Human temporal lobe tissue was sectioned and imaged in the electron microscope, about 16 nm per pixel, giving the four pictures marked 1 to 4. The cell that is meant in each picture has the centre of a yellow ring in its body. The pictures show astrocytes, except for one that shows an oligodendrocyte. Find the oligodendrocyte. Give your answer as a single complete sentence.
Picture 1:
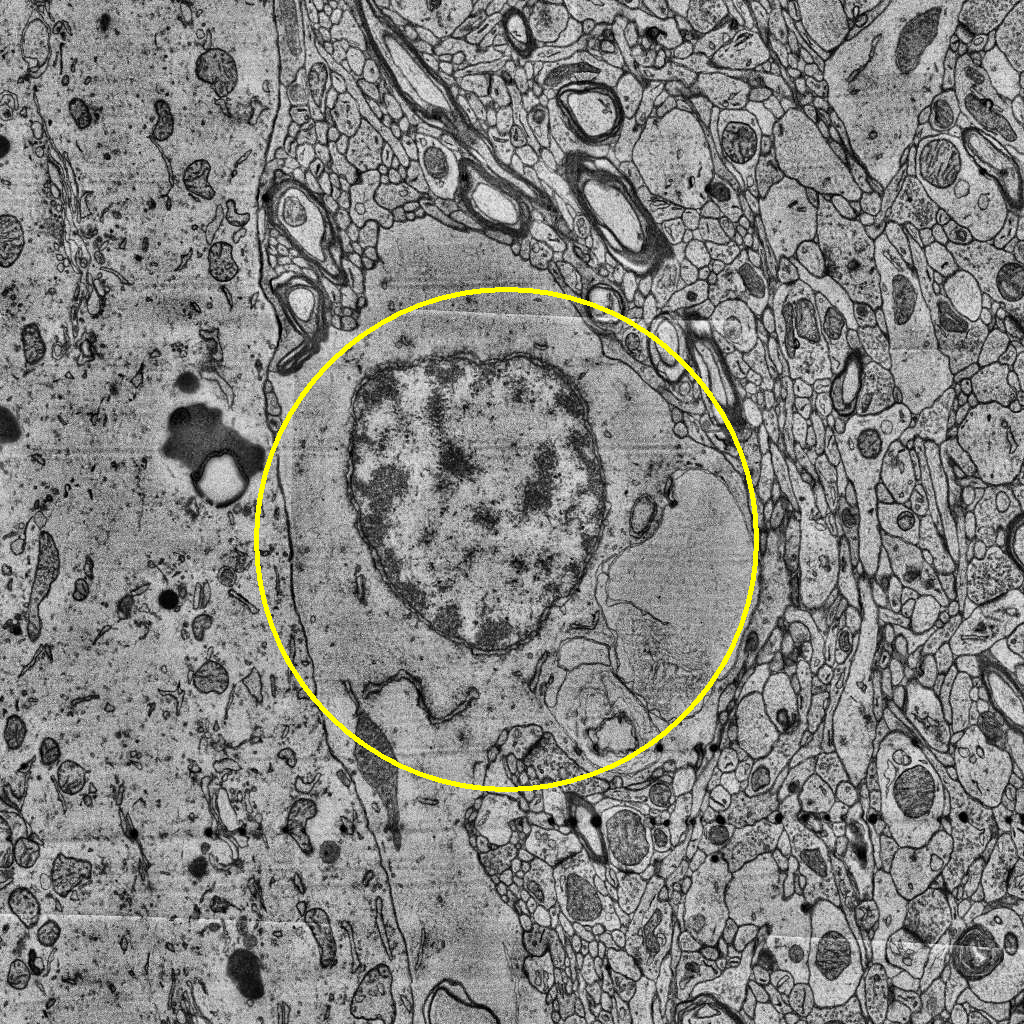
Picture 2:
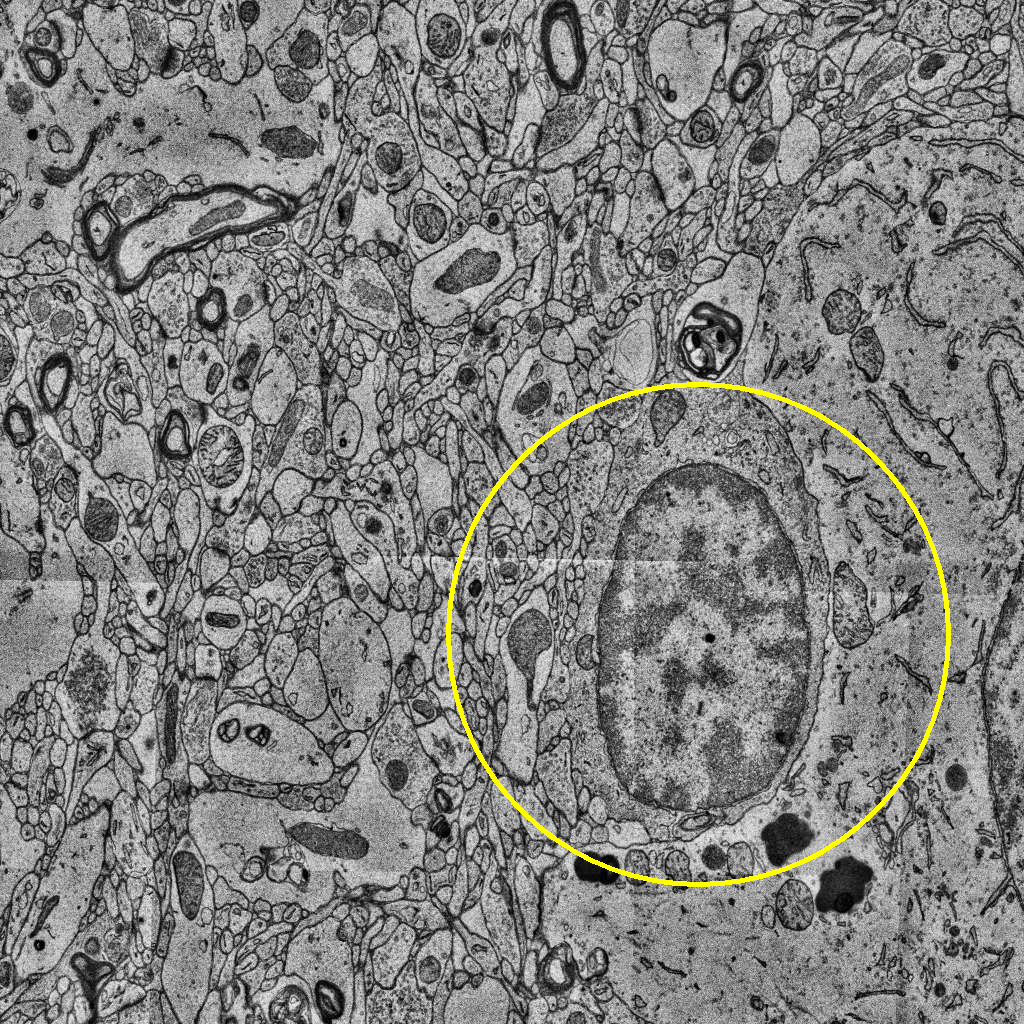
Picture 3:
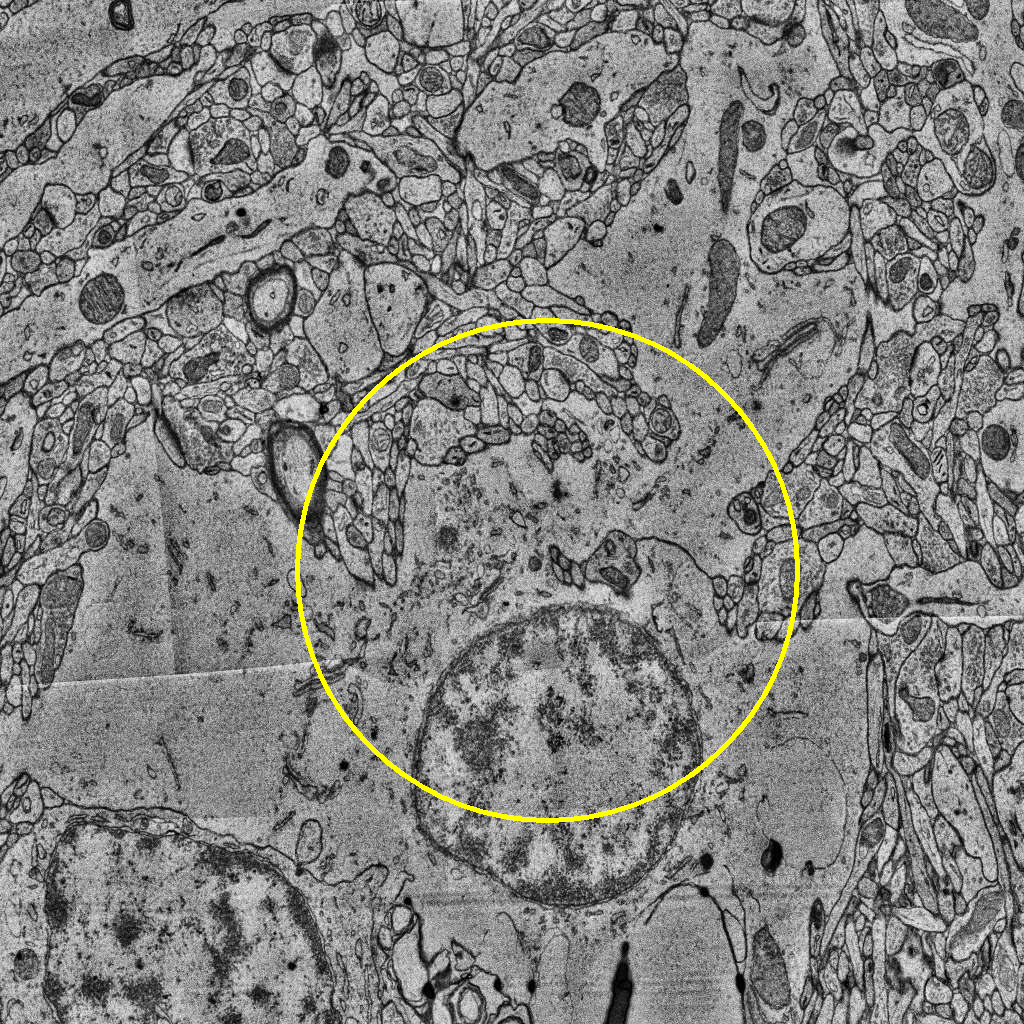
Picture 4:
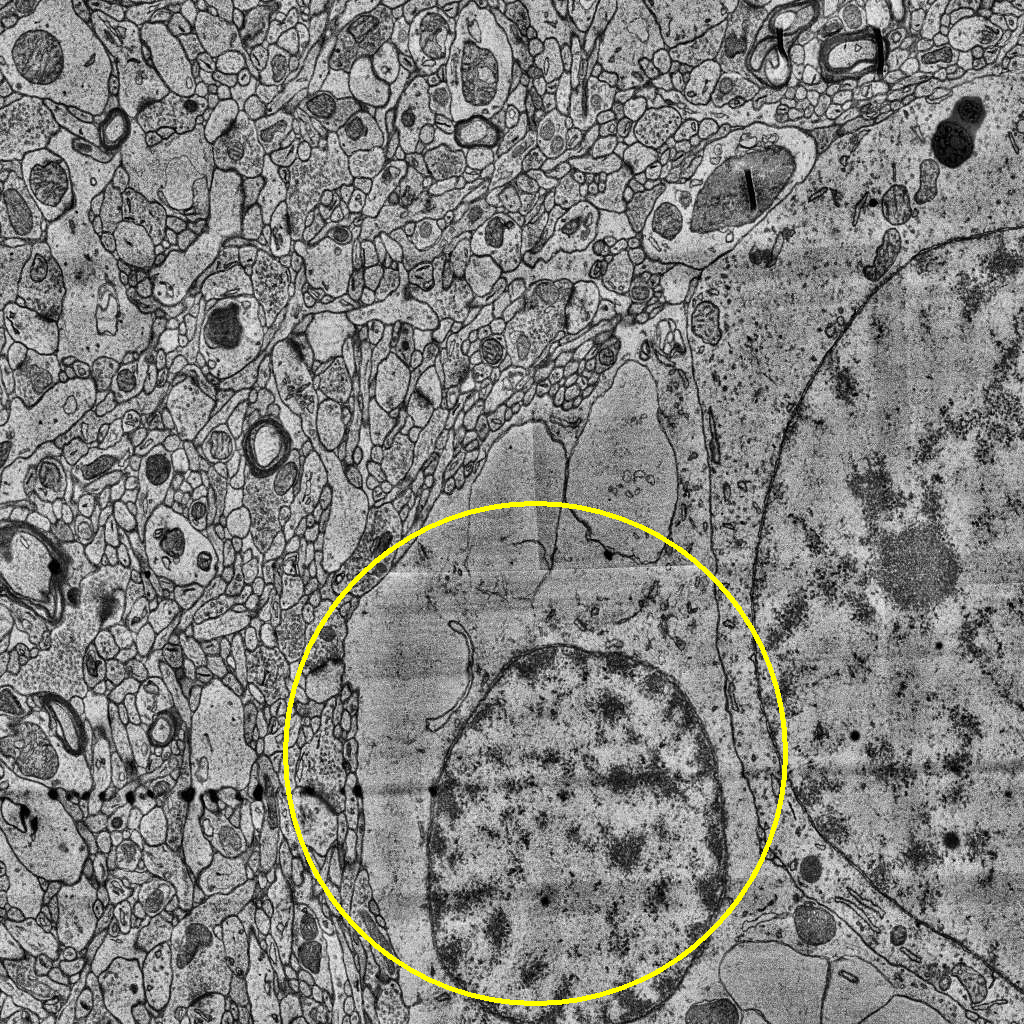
The cell in picture 2 is the oligodendrocyte.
